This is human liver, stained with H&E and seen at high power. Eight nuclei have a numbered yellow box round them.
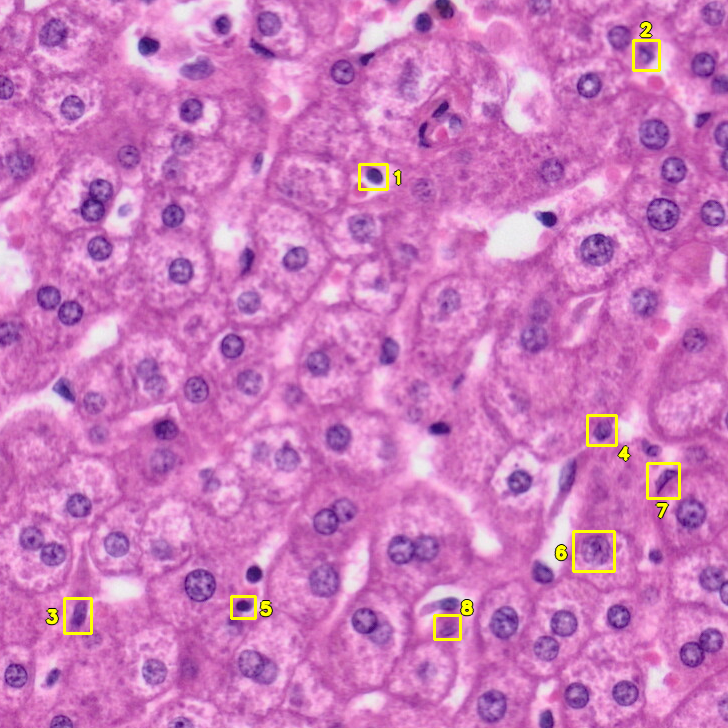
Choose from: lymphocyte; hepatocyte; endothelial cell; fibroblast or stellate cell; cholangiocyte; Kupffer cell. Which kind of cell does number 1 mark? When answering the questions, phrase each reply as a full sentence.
Nucleus 1 in this section belongs to a lymphocyte.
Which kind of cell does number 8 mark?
The numbered cell 8 is identified here as a Kupffer cell.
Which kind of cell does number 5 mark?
Marked with the number 5, this cell is a lymphocyte.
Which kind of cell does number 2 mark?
Identified by the number 2, the cell is a Kupffer cell.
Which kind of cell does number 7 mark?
The cell identified by the number 7 is an endothelial cell.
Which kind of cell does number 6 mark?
The correct answer for cell 6 is a hepatocyte.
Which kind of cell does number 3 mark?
Regarding cell 3, this one is a Kupffer cell.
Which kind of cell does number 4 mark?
The cell that carries the label 4 is a fibroblast or stellate cell.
